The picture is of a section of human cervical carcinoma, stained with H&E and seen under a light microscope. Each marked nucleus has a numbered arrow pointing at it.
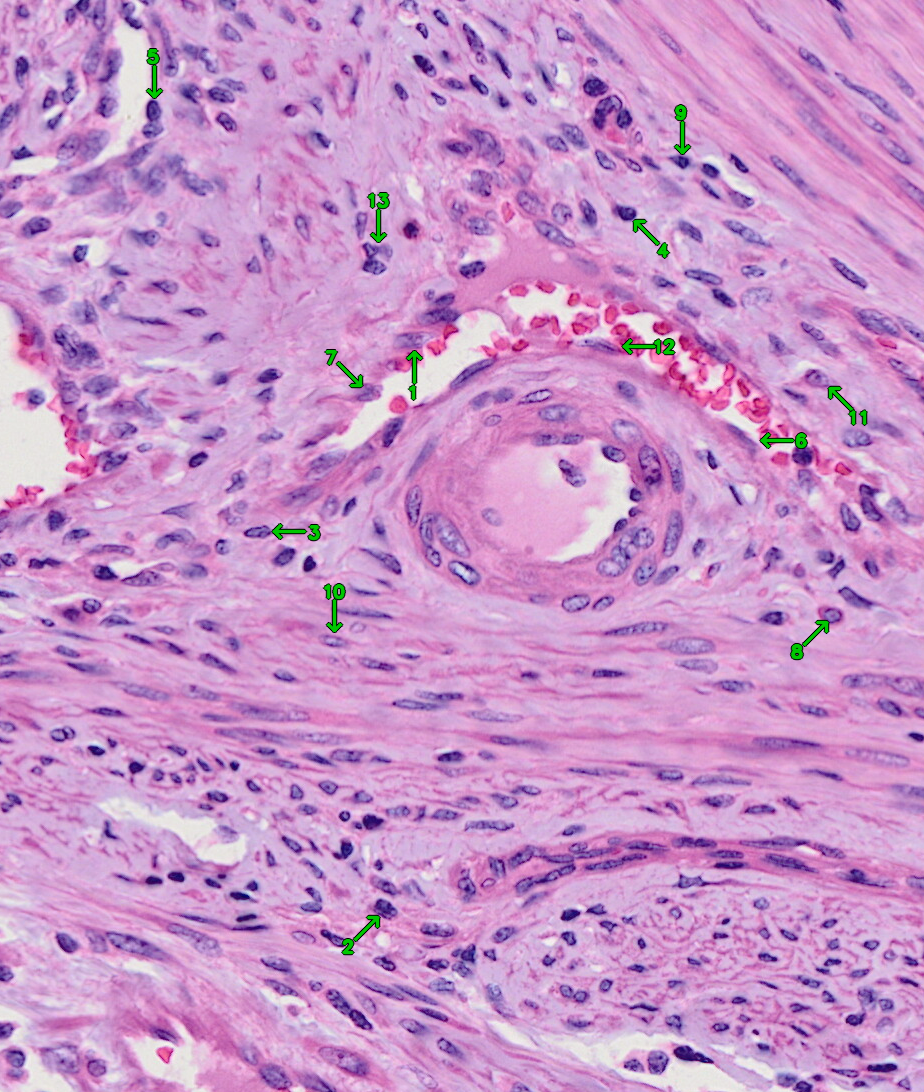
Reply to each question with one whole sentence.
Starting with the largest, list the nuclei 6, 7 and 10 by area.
By area, largest first, they run 6, 7, 10.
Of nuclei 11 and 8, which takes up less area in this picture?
Nucleus 8 is the smaller one; nucleus 11 covers about 2 times its area.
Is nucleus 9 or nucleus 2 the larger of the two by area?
The larger nucleus is 2, at roughly 2 times the area of 9.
